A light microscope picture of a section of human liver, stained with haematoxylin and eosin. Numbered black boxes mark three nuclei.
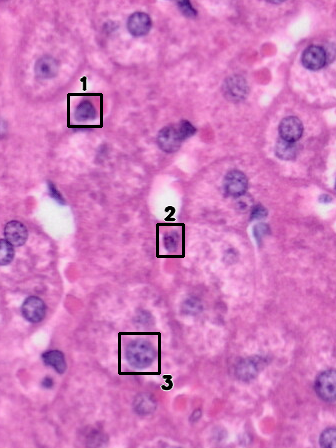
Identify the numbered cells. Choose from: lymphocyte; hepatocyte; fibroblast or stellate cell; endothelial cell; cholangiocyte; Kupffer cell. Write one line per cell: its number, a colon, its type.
1: Kupffer cell
2: endothelial cell
3: hepatocyte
